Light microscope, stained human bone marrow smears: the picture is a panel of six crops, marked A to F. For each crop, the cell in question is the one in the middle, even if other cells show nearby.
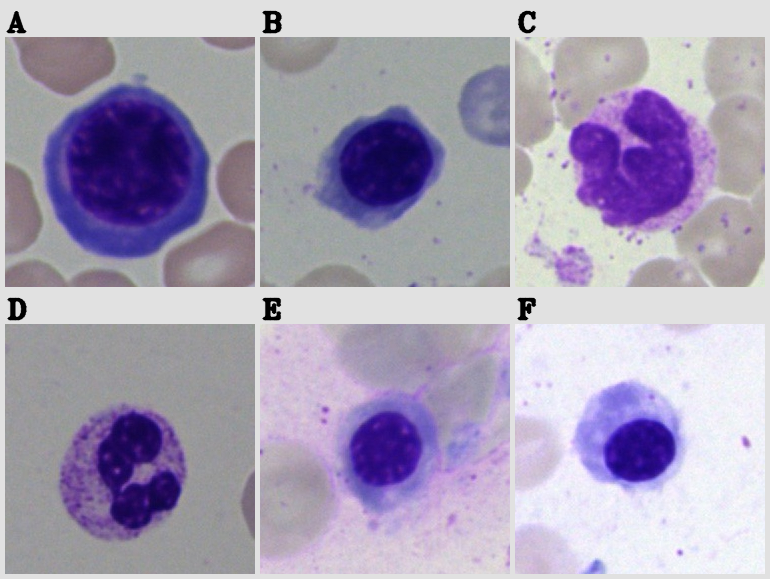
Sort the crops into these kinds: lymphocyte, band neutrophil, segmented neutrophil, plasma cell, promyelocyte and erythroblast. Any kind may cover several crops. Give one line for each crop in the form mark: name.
A: erythroblast
B: erythroblast
C: segmented neutrophil
D: segmented neutrophil
E: erythroblast
F: erythroblast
